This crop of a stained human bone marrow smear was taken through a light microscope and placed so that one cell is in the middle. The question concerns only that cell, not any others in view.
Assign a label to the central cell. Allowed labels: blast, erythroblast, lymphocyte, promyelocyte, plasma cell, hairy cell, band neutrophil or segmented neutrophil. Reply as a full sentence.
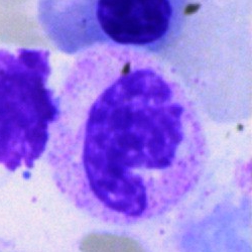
The cell marked by its central position in the crop is a band neutrophil.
